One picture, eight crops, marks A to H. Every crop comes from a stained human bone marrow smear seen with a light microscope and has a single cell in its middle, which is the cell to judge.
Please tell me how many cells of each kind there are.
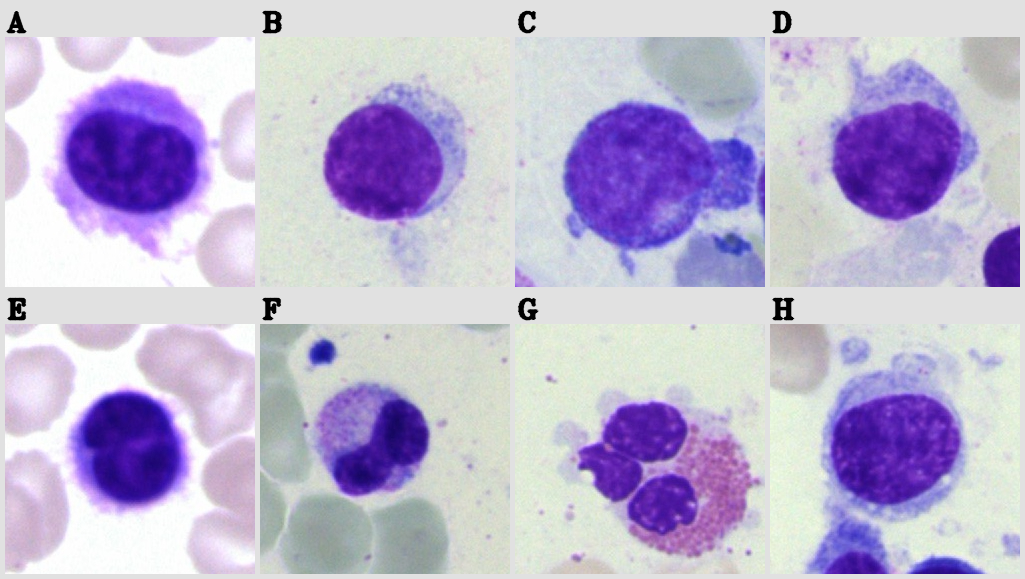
hairy cell: 5
blast: 1
band neutrophil: 1
basophil: 1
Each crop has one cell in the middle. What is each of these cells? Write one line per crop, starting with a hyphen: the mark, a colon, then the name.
- A: hairy cell
- B: hairy cell
- C: blast
- D: hairy cell
- E: hairy cell
- F: band neutrophil
- G: basophil
- H: hairy cell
